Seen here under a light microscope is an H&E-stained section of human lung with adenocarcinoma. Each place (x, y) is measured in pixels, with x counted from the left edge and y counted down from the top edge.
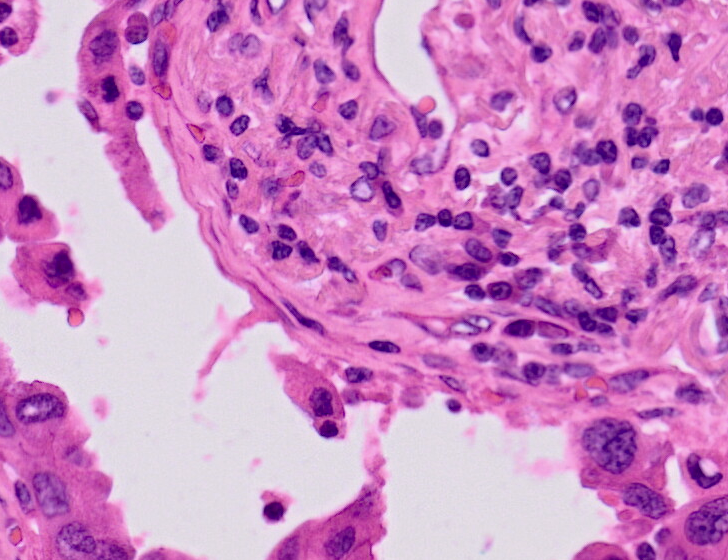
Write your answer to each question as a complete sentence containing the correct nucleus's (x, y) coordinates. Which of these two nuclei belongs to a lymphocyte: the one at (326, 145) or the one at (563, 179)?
The nucleus that sits at (326, 145) is the nucleus of a lymphocyte.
